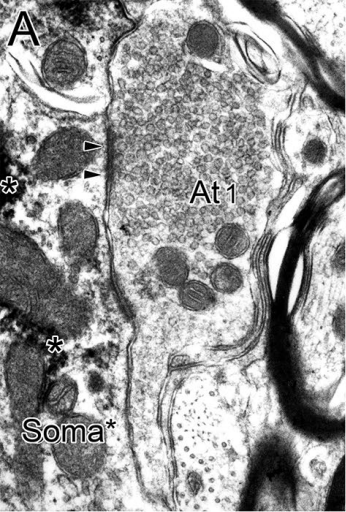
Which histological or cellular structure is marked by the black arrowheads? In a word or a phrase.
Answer: Synaptic contacts.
